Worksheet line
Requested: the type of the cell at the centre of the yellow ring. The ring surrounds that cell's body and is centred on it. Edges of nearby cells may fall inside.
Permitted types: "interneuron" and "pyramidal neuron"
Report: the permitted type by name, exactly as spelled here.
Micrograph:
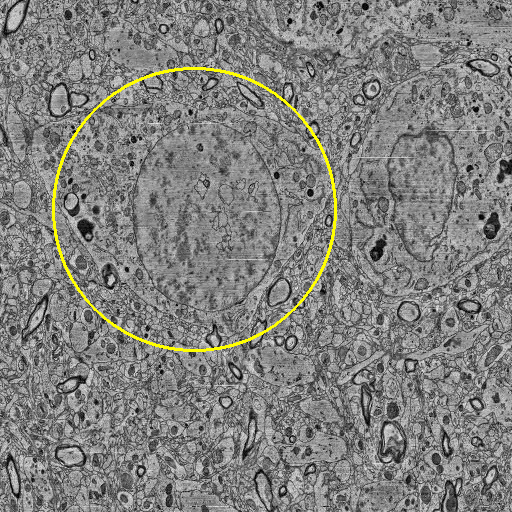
interneuron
